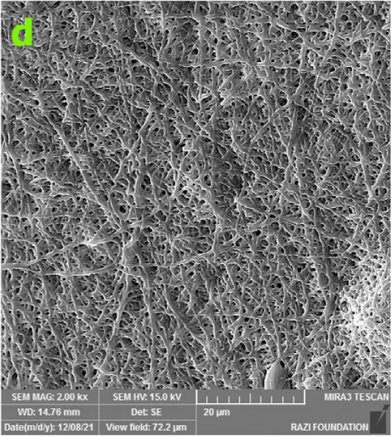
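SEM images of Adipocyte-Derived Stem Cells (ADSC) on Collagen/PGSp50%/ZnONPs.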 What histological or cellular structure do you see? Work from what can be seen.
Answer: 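A dense mesh of thin, randomly oriented, interwoven fibers covers the whole field. Small pores lie between the crossing fibers.
Hence: nanofiber sheets.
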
